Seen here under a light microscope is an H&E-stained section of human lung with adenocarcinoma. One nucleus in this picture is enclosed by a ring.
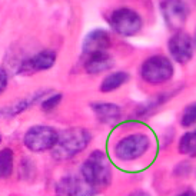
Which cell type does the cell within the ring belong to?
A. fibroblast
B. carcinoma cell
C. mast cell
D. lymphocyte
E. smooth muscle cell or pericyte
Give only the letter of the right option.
C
